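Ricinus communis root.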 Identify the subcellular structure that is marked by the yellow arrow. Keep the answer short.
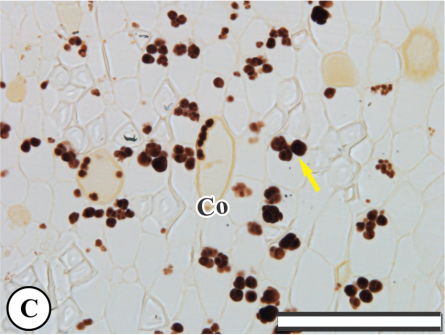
Starch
